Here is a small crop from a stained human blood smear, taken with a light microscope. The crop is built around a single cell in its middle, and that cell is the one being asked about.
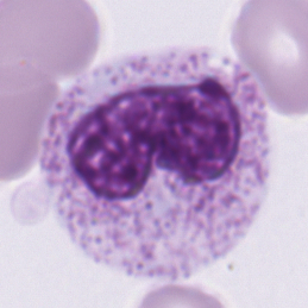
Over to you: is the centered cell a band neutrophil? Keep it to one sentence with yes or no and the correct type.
Yes, the cell in the exact middle is a band neutrophil.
